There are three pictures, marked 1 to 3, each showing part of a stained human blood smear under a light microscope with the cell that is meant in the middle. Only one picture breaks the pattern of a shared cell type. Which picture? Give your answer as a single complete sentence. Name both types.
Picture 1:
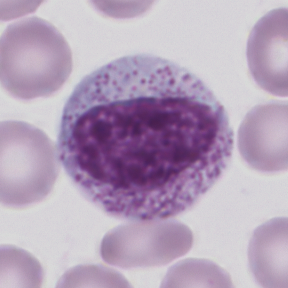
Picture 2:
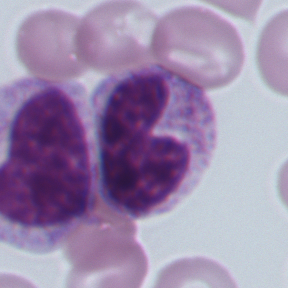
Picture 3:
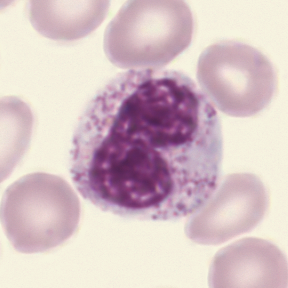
Unlike the rest, which show band neutrophils, picture 1 shows a metamyelocyte.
